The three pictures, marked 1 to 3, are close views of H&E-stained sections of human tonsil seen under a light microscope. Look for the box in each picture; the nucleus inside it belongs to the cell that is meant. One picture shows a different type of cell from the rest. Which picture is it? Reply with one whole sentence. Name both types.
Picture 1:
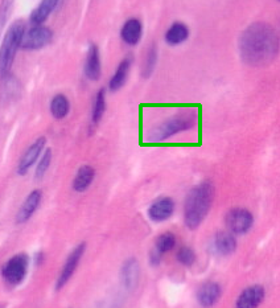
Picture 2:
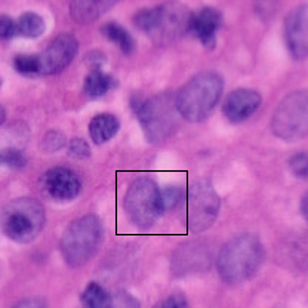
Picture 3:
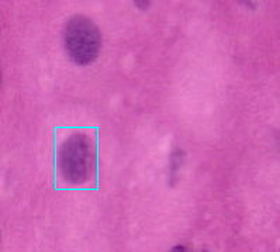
Picture 1 differs, because its cell is an endothelial cell and the rest are squamous epithelial cells.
